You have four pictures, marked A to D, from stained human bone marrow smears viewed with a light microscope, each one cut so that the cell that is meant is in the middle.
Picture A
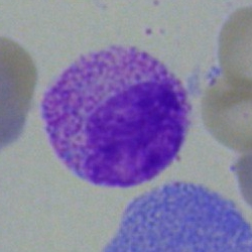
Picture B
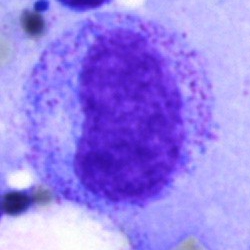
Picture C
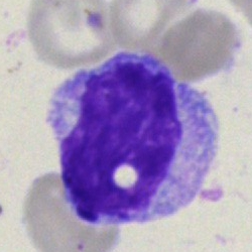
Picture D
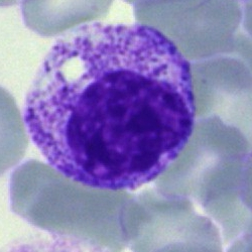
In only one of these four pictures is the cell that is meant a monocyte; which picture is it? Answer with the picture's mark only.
C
